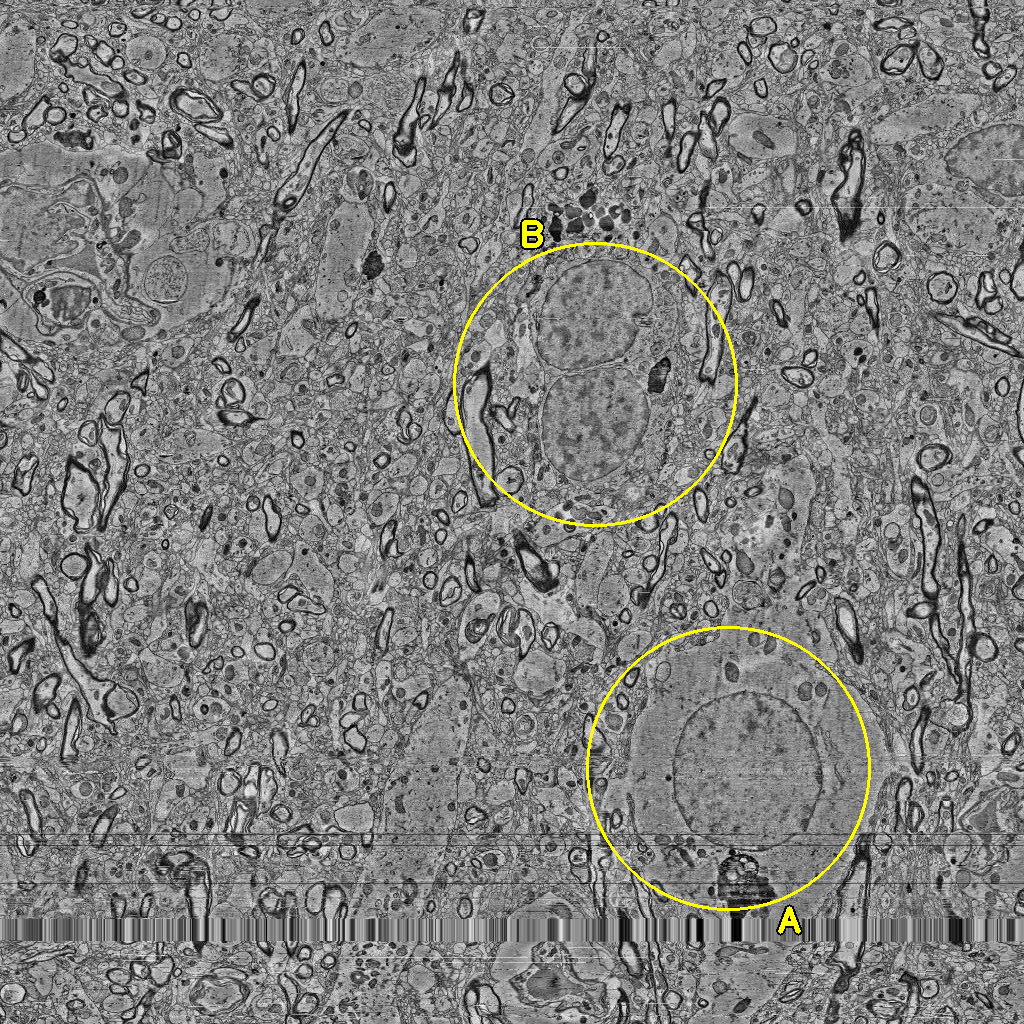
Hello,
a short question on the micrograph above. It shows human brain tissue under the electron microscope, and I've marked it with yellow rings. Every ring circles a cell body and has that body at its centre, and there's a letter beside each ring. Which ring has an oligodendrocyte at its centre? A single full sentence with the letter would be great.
The cell you asked about sits at the centre of ring B.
